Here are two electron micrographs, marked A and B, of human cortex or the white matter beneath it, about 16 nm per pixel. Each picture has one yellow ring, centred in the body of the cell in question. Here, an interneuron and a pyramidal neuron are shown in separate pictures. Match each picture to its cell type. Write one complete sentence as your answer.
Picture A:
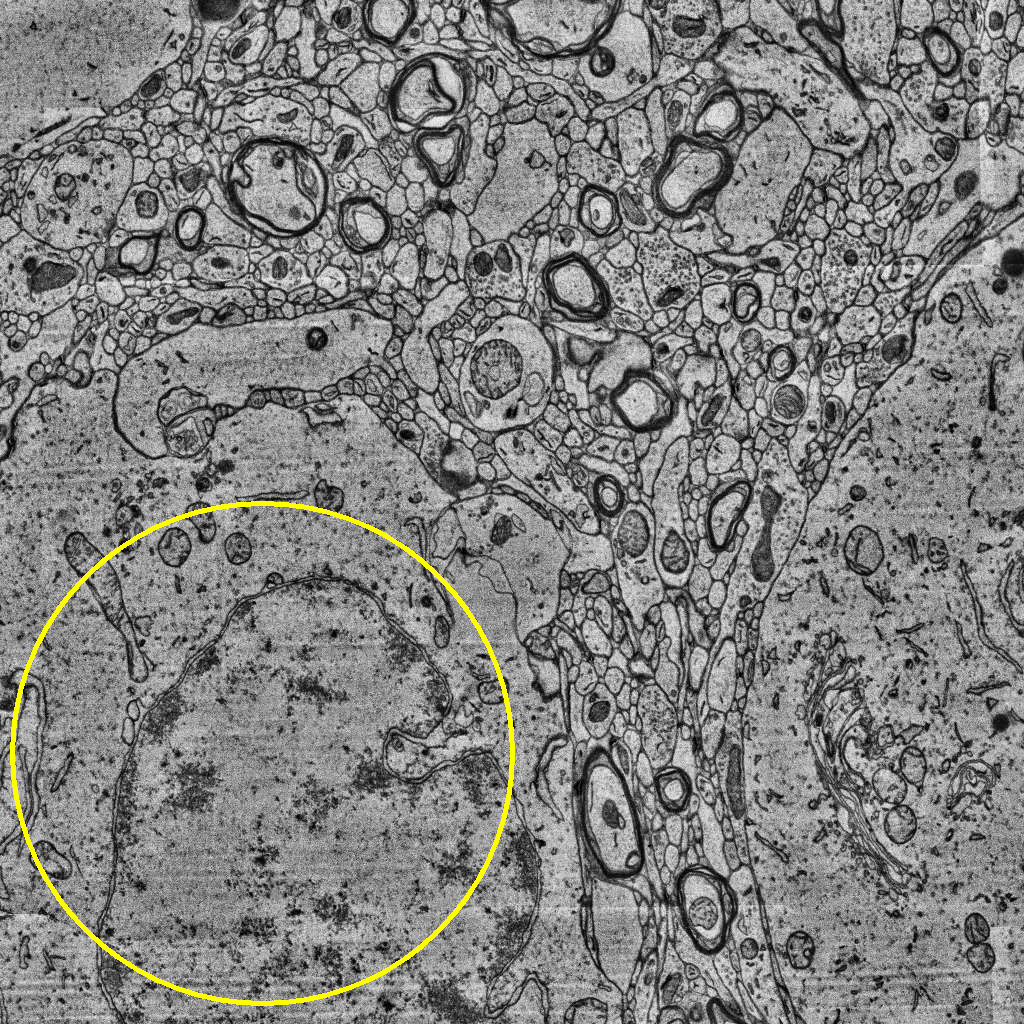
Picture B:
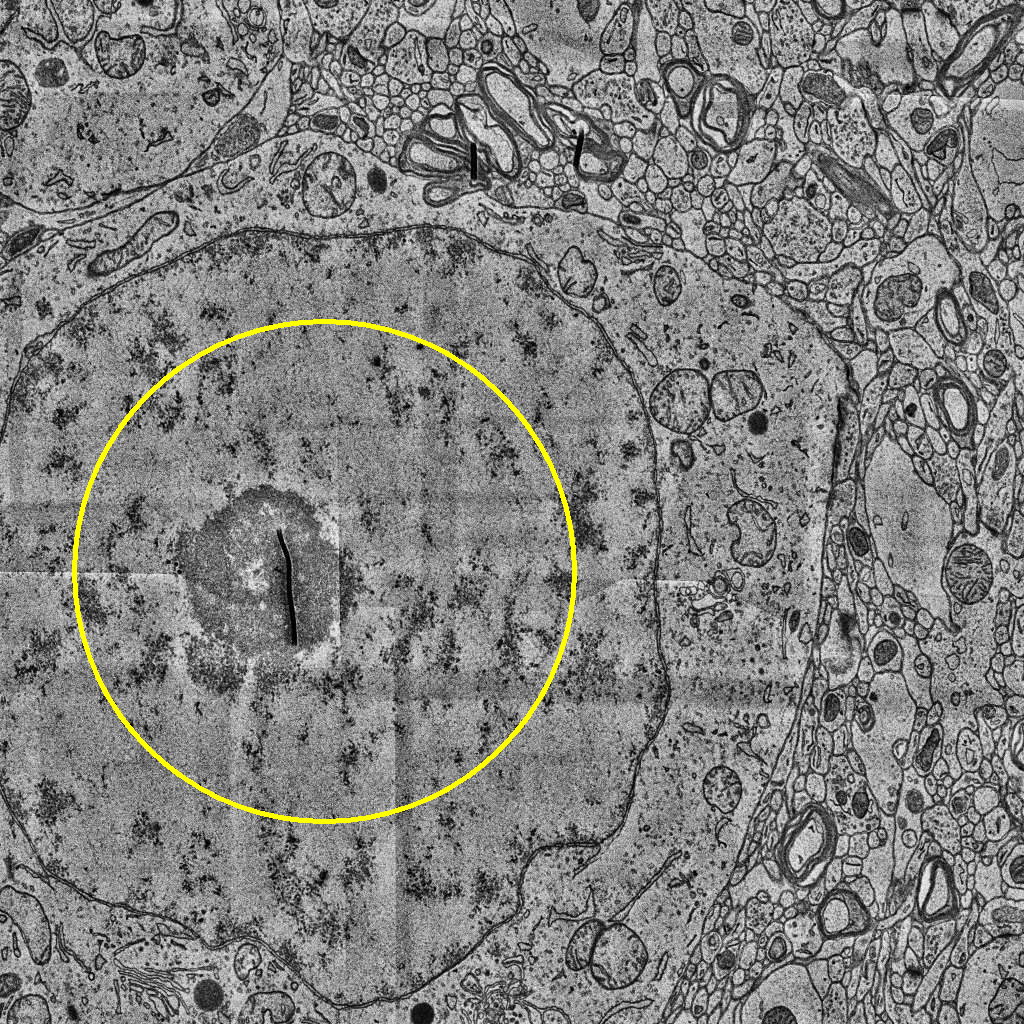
Picture A shows an interneuron and picture B shows a pyramidal neuron.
